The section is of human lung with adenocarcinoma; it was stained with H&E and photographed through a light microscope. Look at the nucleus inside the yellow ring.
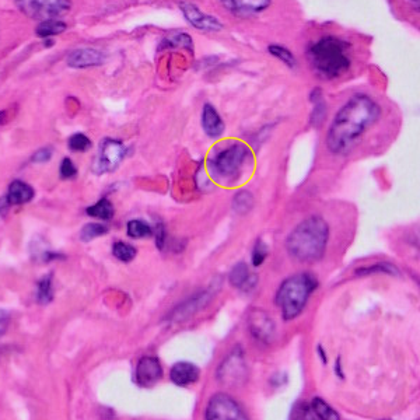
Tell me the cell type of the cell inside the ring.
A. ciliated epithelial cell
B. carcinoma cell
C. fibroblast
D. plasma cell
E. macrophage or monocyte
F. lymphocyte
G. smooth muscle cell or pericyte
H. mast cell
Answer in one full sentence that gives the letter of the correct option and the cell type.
It is correct to say that the cell inside the ring is a plasma cell, as option D does.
